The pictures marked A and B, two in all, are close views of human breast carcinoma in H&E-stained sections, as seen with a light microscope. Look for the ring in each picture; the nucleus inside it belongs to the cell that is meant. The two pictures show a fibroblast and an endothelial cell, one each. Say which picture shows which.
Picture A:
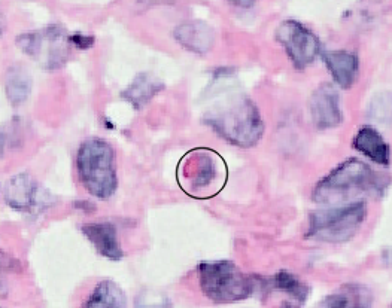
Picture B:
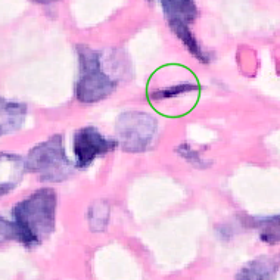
A: endothelial cell
B: fibroblast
